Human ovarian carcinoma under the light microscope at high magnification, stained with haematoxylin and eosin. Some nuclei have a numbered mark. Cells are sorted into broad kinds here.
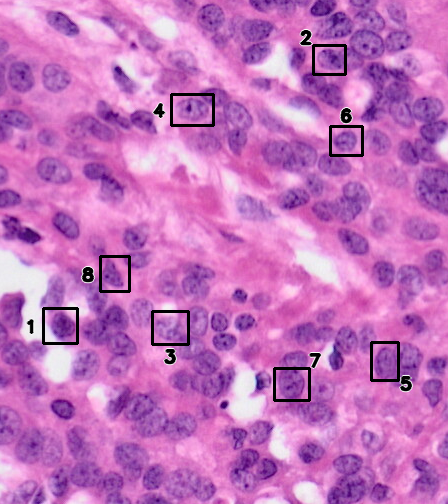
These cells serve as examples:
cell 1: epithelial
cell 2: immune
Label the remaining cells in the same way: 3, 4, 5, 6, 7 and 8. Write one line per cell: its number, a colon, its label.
3: epithelial
4: immune
5: epithelial
6: immune
7: epithelial
8: epithelial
